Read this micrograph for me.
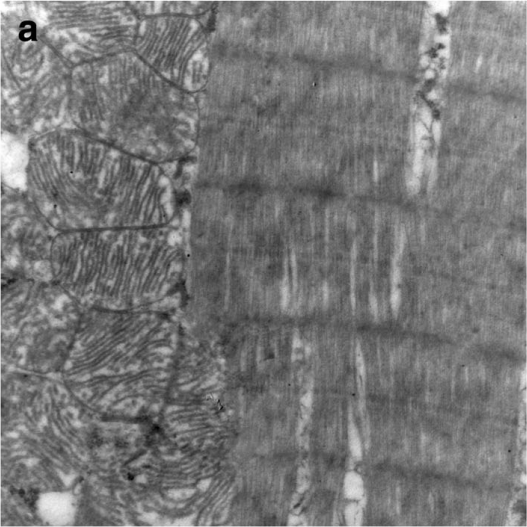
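This is part of a heart muscle cell seen at the level of its organelles, with a block of myofibrils on the right and a dense mass of mitochondria on the left. The myofibrils are closely packed and striated. Dark transverse Z-lines cross them at regular intervals, marking out the sarcomeres. Only a few narrow pale clefts run between the myofibril bundles.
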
